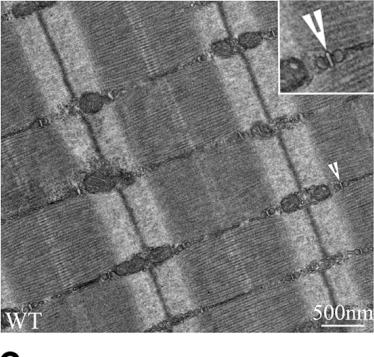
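This is skeletal muscle fibre cut lengthwise, with myofibrils showing a regular pattern of wide dark bands alternating with lighter bands. Thin dark lines cross the middle of each light band, and the bands of neighbouring myofibrils line up in register. Between the myofibrils, at the level of the dark lines, sit small oval mitochondria. Small paired membrane profiles lie at the boundary between dark and light bands, marked by an open arrowhead. These are properly organized and aligned sarcomeres with triads formed by intact internal membranes.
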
